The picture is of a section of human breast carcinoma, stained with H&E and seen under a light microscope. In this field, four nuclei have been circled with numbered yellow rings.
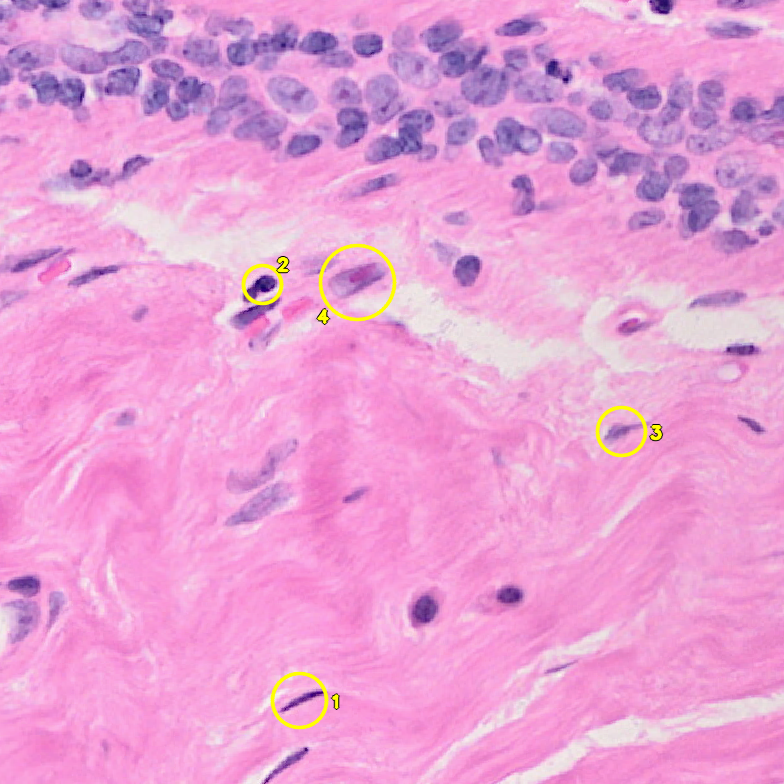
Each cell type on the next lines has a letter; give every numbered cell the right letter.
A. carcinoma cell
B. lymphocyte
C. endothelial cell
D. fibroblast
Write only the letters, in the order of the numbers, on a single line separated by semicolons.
D; B; D; C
